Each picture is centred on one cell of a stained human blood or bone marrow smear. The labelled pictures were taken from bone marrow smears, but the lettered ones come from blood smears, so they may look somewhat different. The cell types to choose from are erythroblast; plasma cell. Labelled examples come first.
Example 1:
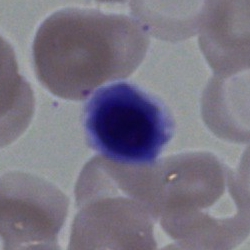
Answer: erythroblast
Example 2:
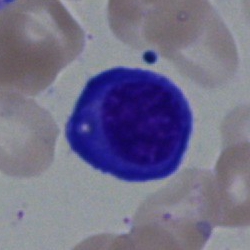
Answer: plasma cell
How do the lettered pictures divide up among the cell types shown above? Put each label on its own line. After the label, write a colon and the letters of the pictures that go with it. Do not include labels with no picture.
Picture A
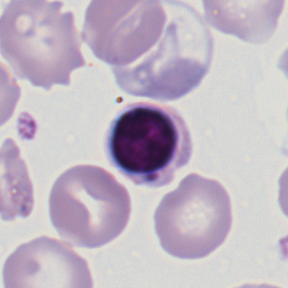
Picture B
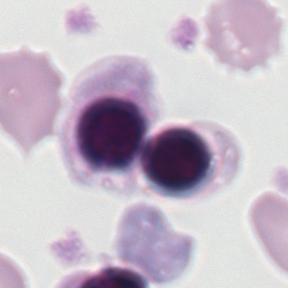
erythroblast: A, B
